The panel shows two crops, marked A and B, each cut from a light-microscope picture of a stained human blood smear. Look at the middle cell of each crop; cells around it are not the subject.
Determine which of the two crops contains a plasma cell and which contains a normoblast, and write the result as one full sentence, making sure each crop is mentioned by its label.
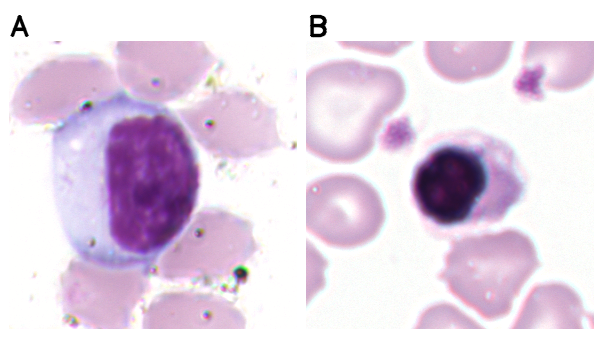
Displayed in crop A is a plasma cell, while crop B displays a normoblast.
